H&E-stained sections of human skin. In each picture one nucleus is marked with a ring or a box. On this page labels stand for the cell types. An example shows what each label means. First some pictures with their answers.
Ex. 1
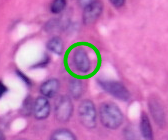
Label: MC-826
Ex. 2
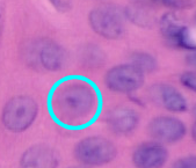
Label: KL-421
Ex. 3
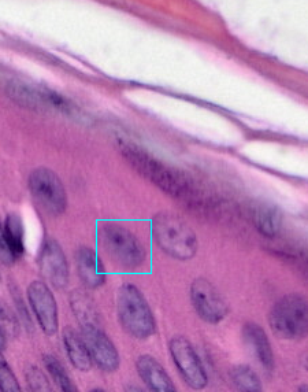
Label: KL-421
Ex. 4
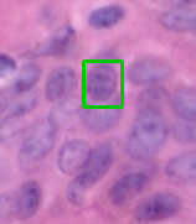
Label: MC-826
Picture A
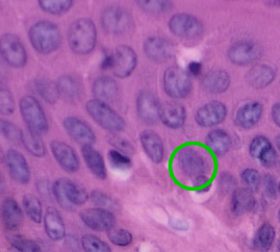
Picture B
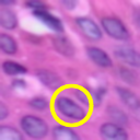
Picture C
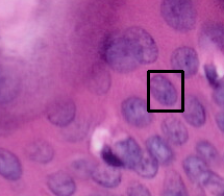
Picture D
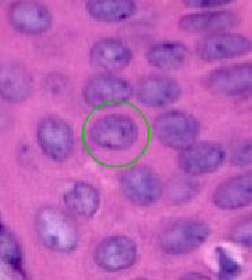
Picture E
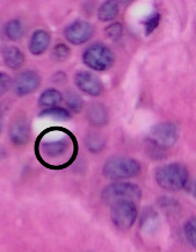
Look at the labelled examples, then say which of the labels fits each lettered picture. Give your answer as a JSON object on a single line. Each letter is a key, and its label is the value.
{"A": "MC-826", "B": "MC-826", "C": "KL-421", "D": "KL-421", "E": "MC-826"}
